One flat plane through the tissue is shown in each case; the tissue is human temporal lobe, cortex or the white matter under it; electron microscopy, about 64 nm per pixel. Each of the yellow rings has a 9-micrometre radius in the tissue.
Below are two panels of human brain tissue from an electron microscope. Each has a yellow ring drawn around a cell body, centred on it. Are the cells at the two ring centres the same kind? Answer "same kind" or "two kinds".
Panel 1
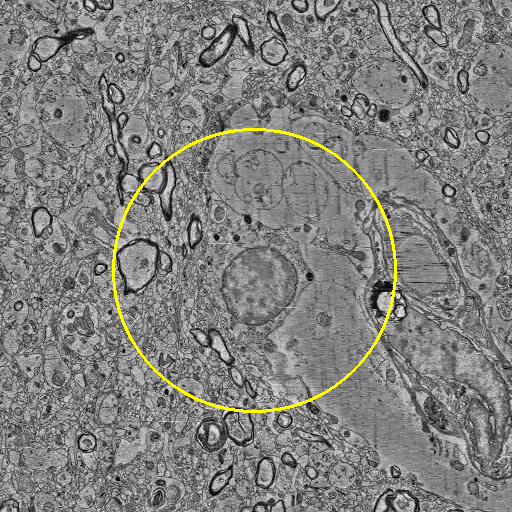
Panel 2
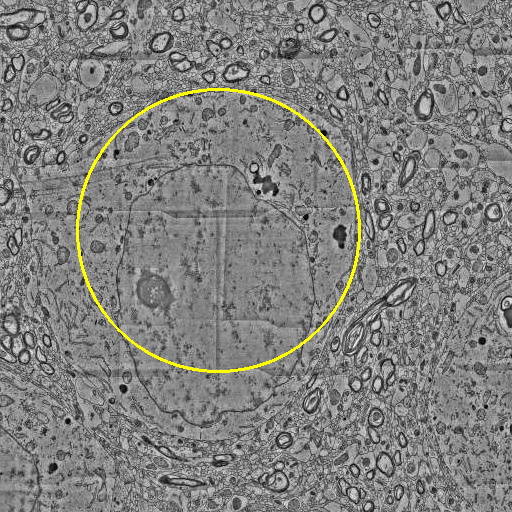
two kinds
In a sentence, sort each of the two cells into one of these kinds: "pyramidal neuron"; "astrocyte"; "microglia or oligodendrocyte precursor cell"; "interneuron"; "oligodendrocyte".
The first of the two cells is an oligodendrocyte, and the second is a pyramidal neuron.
